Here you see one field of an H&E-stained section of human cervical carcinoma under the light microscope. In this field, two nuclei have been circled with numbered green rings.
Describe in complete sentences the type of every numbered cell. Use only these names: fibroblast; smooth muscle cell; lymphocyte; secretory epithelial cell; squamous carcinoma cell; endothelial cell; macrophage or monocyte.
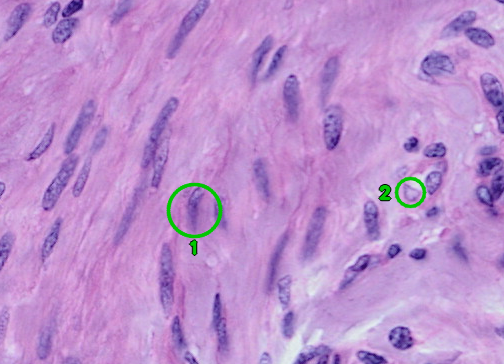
Cell 1 is a smooth muscle cell and cell 2 is an endothelial cell.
